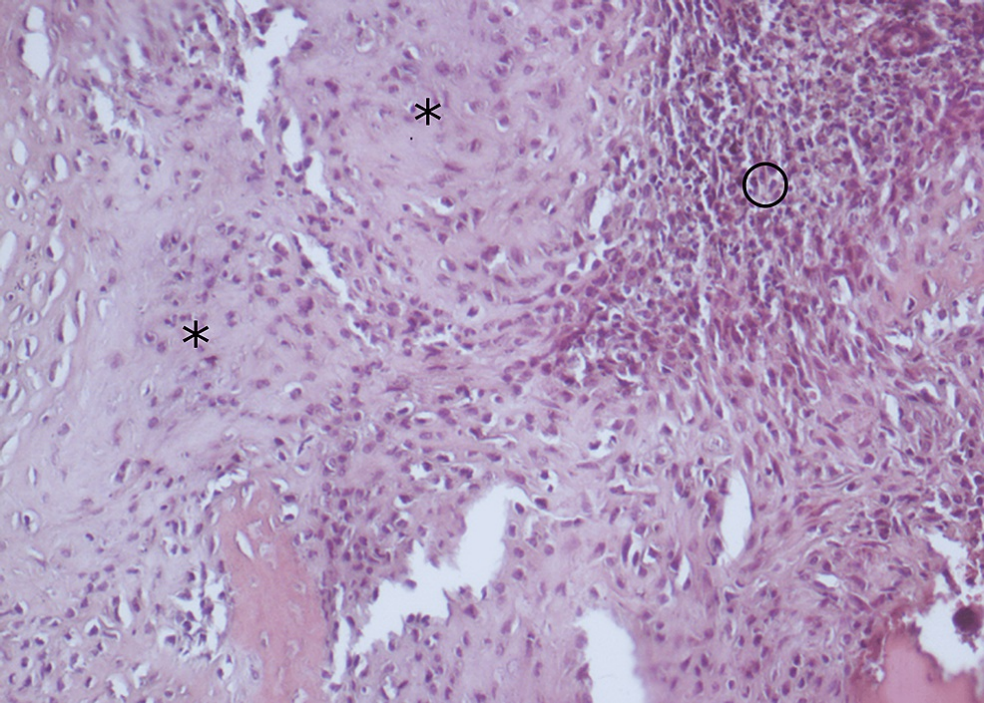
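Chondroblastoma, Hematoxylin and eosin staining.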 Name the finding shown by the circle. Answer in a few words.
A: Hypercellular areas.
